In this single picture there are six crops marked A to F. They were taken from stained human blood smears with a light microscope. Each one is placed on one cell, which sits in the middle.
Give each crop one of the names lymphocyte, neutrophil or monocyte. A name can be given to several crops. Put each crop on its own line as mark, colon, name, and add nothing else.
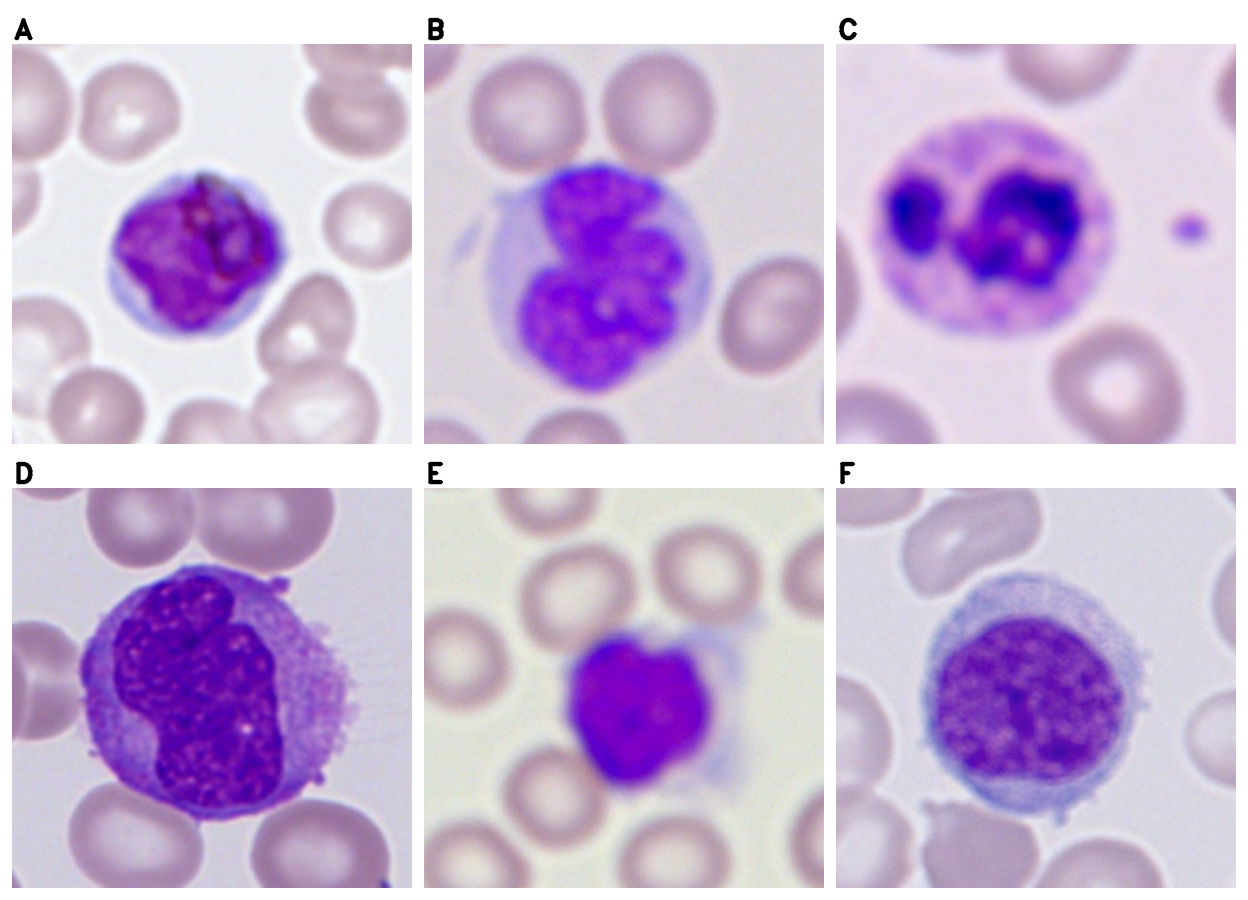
A: lymphocyte
B: monocyte
C: neutrophil
D: monocyte
E: lymphocyte
F: monocyte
